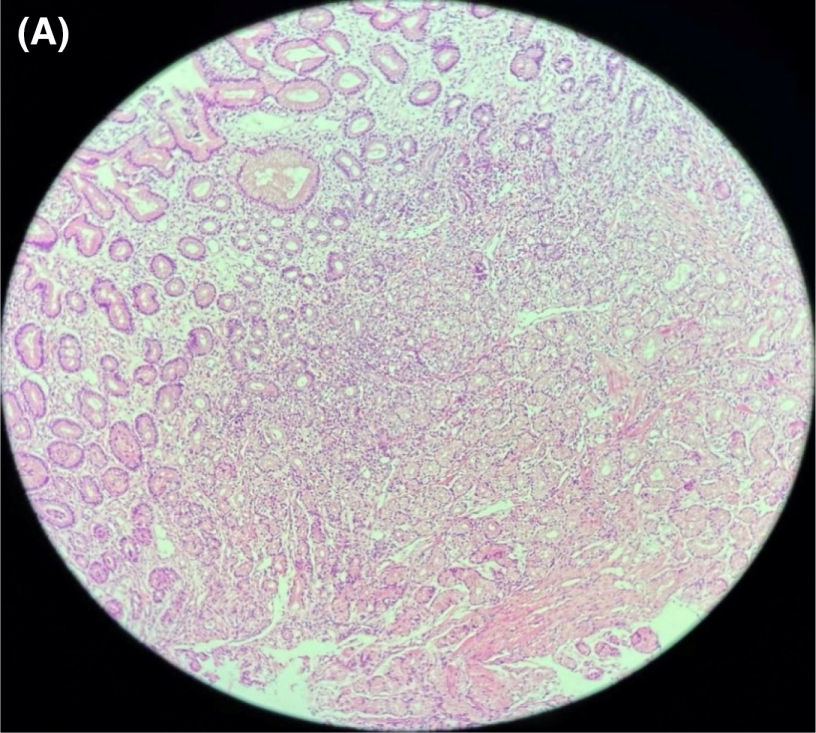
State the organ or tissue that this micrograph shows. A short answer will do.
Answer: Antral mucosa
